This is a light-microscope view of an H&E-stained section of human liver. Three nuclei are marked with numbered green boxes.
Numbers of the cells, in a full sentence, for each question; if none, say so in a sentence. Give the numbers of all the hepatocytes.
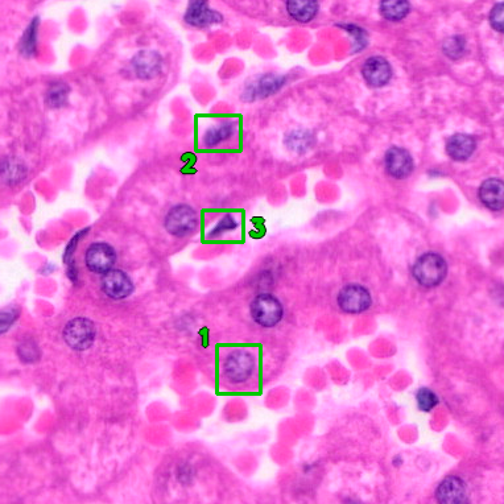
Among the marked cells, a hepatocyte is found only at number 1.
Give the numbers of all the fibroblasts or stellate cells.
Cell 2 is a fibroblast or stellate cell; the remaining numbered cells are not.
